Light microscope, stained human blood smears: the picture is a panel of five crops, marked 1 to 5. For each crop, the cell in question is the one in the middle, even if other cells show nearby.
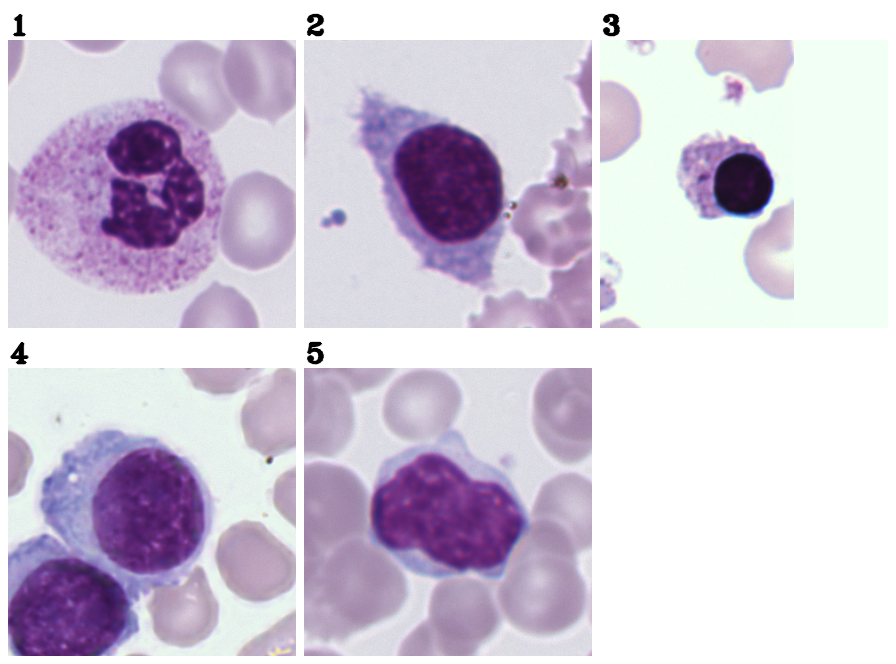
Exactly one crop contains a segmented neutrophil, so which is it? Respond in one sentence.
Crop 1 is the crop containing a segmented neutrophil.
